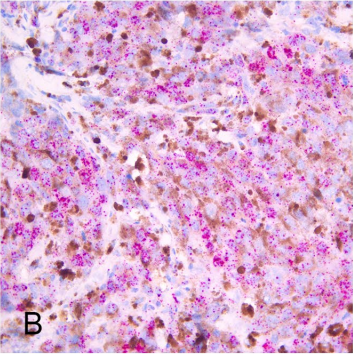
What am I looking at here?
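A sheet of large, plump polygonal tumour cells with round to oval blue nuclei, many of them carrying coarse brown-black granules in their cytoplasm, some so laden that the nucleus is hidden. Fine red dots are scattered densely through the cytoplasm of most cells, in places clumped into small red aggregates. A few thin strands of paler connective tissue with elongated nuclei run between groups of cells at the upper left.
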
